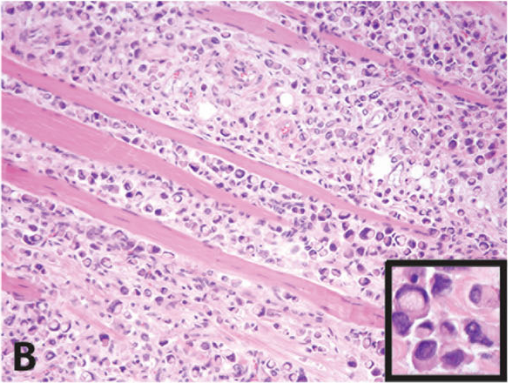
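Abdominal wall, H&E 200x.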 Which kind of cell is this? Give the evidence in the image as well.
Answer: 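Sheets of discohesive round cells lie between pink muscle fibres. The cells have eccentric nuclei and ample pink cytoplasm. The inset shows single cells with off-centre nuclei. On this evidence: plasmacytoid tumor cells.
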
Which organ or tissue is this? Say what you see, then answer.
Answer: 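Skeletal muscle. Long parallel pink fibres run diagonally across the field. Tumor cells fill the spaces between the fibres.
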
